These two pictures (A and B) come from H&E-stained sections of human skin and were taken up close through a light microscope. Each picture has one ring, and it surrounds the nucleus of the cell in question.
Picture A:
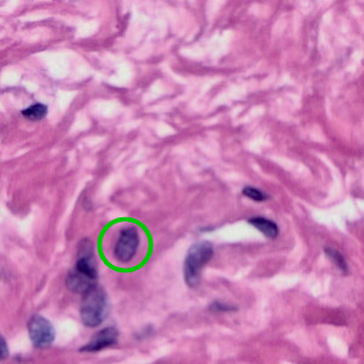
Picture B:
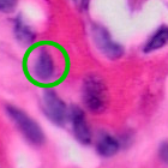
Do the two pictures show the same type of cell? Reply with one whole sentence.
Yes, they are the same type: both are endothelial cells.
